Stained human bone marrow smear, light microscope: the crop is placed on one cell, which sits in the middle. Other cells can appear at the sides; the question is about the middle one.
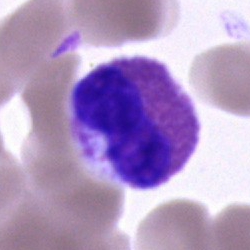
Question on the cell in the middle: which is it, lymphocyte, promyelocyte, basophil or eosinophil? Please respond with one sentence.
The cell that lies at the centre of the crop is an eosinophil.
